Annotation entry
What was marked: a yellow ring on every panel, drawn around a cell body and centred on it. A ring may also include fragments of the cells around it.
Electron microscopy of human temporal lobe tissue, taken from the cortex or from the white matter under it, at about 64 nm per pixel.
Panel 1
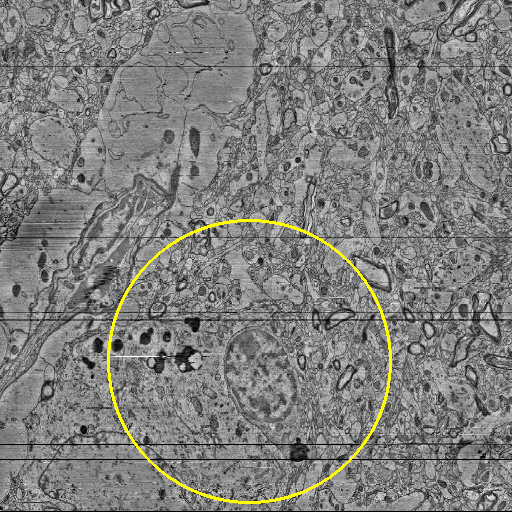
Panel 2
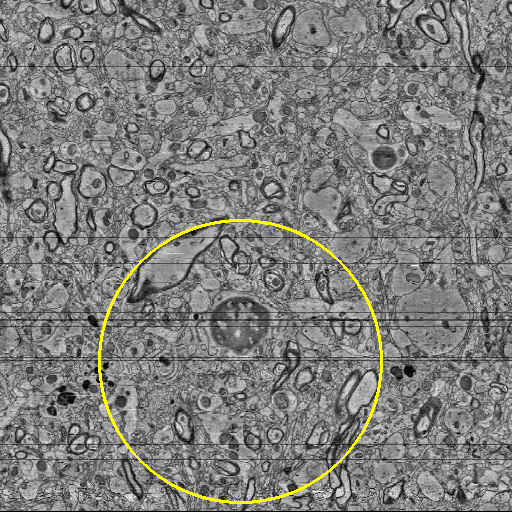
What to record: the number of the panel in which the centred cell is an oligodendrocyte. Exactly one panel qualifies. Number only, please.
1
